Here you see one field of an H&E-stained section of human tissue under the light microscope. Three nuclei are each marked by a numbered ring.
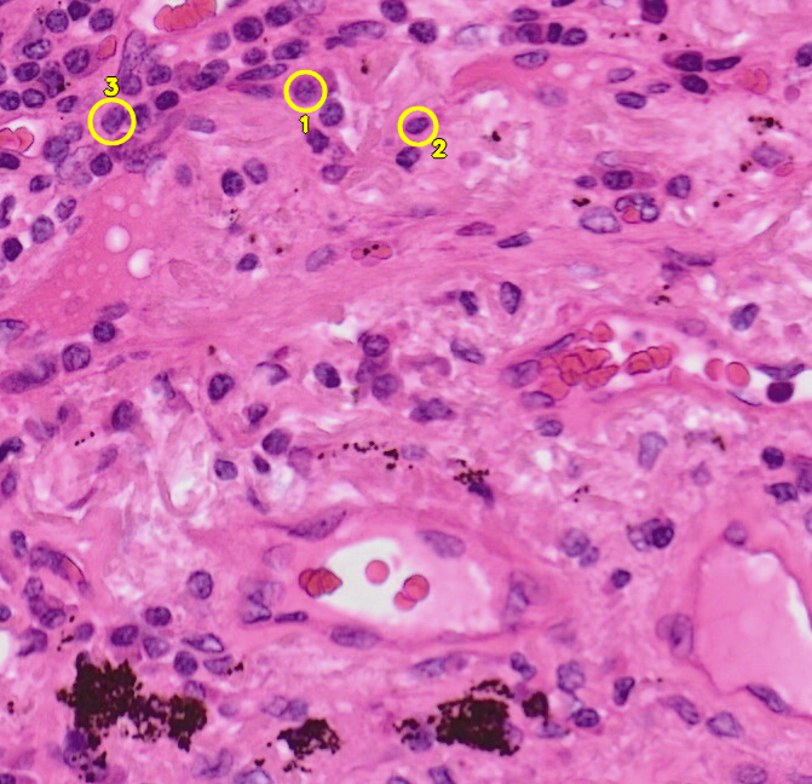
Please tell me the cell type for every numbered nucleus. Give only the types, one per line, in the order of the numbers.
plasma cell
mast cell
lymphocyte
